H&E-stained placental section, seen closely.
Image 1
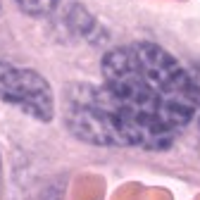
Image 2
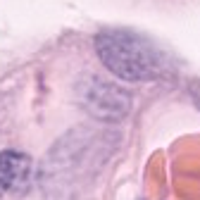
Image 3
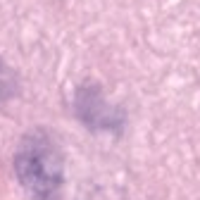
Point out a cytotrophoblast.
That is picture 2.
